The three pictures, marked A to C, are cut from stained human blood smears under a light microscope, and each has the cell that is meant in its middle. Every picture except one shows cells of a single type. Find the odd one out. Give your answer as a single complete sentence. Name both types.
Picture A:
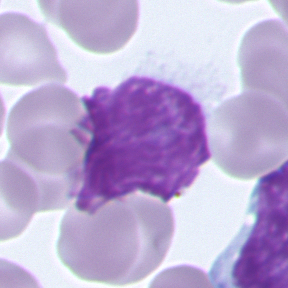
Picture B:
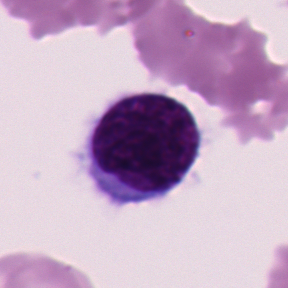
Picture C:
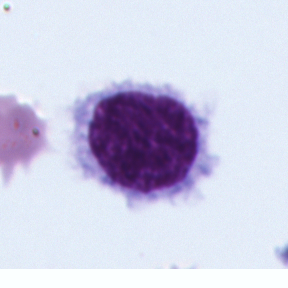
Unlike the rest, which show hairy cells, picture A shows a smudge cell.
